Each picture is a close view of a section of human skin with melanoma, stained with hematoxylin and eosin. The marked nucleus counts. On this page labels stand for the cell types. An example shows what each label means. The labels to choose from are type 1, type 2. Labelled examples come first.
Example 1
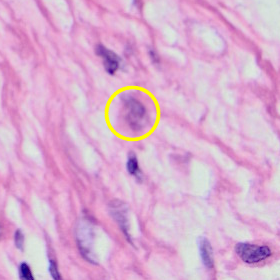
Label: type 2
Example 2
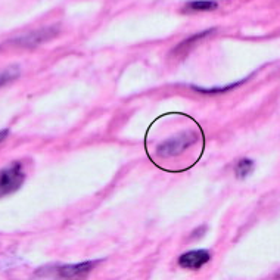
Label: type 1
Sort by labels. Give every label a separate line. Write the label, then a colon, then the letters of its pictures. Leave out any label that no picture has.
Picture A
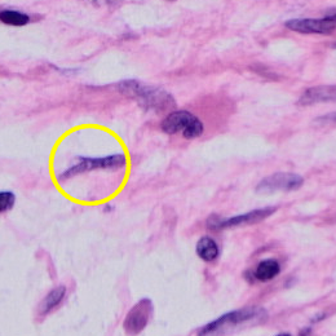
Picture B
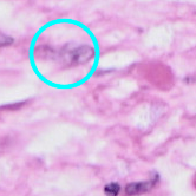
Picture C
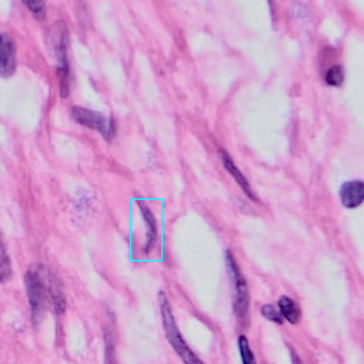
type 2: A, B, C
